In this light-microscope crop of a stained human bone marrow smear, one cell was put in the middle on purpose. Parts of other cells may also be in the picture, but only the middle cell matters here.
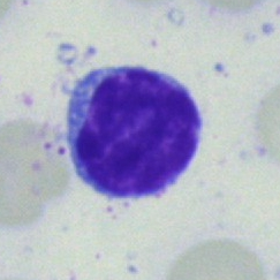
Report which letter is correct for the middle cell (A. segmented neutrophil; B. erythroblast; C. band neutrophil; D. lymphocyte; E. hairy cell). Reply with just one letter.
D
